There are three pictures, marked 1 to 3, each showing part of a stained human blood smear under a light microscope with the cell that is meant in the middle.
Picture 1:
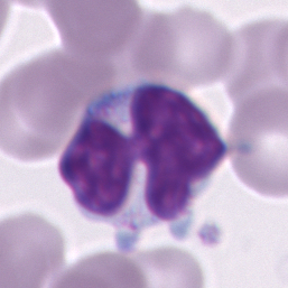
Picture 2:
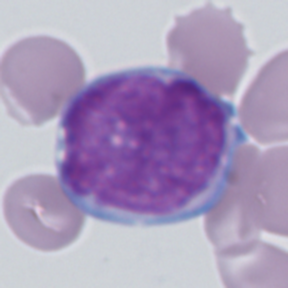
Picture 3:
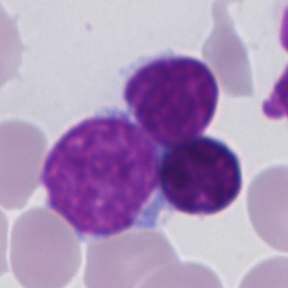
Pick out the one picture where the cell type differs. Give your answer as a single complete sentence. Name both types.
The others show myeloblasts, but picture 1 shows a large granular lymphocyte.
